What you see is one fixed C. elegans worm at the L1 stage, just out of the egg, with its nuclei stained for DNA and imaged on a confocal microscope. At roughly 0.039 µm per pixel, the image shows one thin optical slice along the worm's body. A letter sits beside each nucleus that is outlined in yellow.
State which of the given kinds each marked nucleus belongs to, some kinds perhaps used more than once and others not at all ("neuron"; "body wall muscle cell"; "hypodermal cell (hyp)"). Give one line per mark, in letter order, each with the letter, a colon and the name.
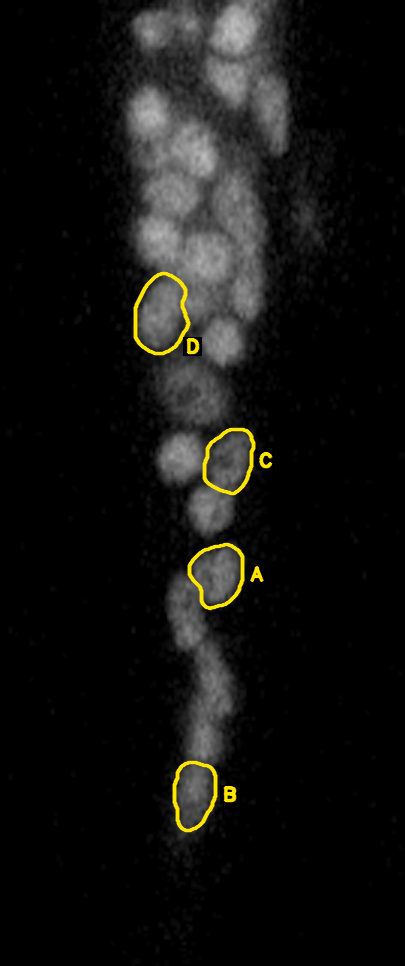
A: hypodermal cell (hyp)
B: hypodermal cell (hyp)
C: hypodermal cell (hyp)
D: body wall muscle cell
